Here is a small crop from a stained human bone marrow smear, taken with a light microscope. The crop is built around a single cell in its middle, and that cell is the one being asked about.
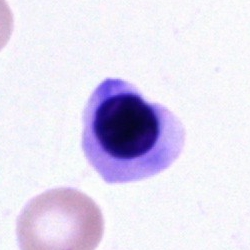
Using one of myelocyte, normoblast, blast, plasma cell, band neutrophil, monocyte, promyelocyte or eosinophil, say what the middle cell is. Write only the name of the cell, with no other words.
normoblast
